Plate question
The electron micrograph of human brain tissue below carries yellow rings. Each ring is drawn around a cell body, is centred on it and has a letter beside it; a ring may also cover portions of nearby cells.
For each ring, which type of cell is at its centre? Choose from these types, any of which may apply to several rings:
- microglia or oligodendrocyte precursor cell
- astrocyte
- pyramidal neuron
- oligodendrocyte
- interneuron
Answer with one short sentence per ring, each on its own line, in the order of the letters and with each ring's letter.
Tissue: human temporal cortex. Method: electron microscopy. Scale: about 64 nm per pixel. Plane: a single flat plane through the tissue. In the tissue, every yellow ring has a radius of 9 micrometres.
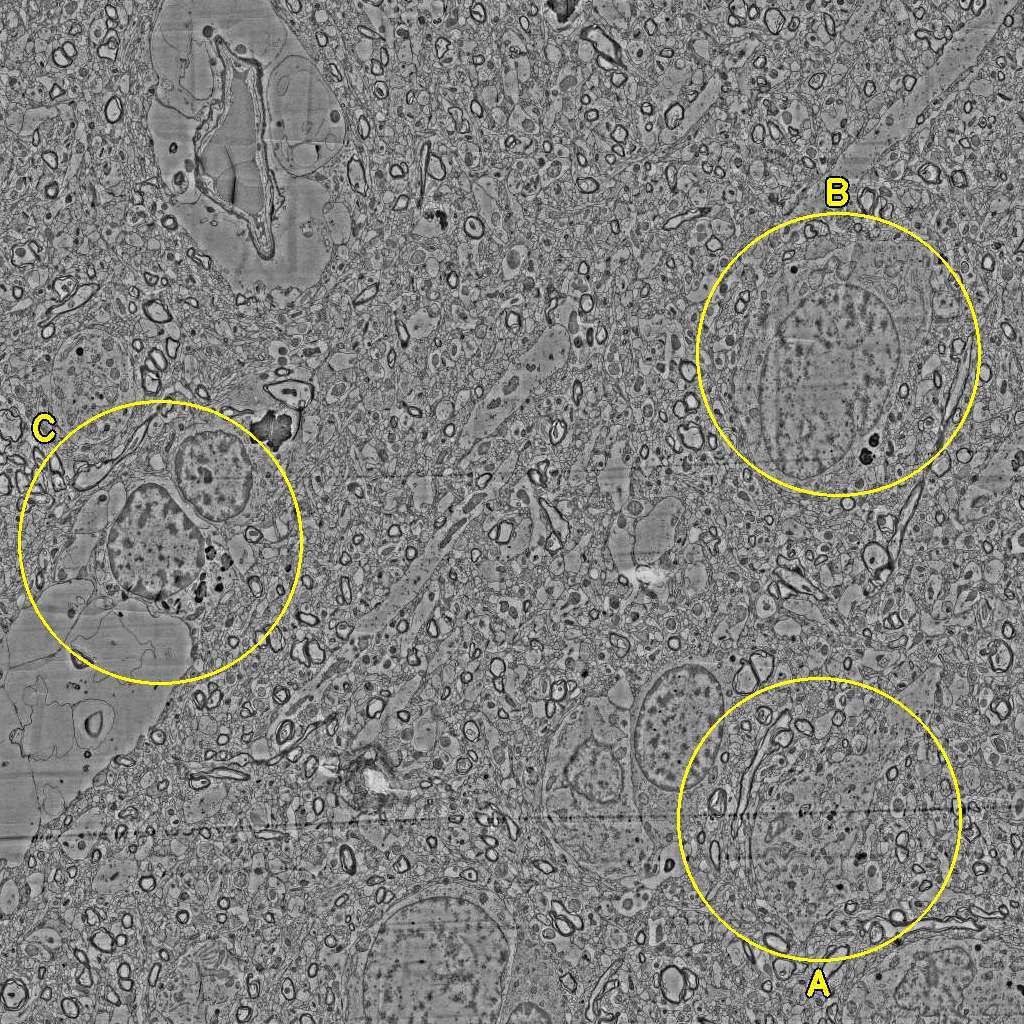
The cell ringed as A is a pyramidal neuron.
The cell ringed as B is an interneuron.
The cell ringed as C is a microglial cell or oligodendrocyte precursor cell.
